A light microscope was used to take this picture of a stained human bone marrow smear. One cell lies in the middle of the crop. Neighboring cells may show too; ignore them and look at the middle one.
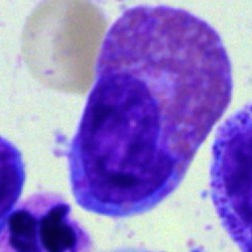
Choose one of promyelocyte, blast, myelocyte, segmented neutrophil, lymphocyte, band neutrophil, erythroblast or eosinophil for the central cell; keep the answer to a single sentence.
The cell centered in this field of view is an eosinophil.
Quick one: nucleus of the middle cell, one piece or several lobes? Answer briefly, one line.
What stands out is a nucleus forming one compact round, oval or kidney-shaped mass.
